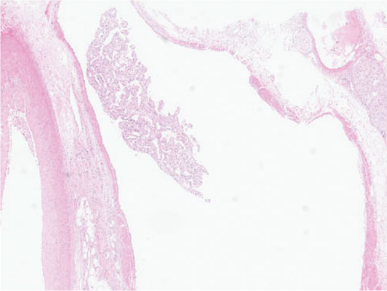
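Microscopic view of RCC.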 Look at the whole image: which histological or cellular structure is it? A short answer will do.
vascular tumor emboli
